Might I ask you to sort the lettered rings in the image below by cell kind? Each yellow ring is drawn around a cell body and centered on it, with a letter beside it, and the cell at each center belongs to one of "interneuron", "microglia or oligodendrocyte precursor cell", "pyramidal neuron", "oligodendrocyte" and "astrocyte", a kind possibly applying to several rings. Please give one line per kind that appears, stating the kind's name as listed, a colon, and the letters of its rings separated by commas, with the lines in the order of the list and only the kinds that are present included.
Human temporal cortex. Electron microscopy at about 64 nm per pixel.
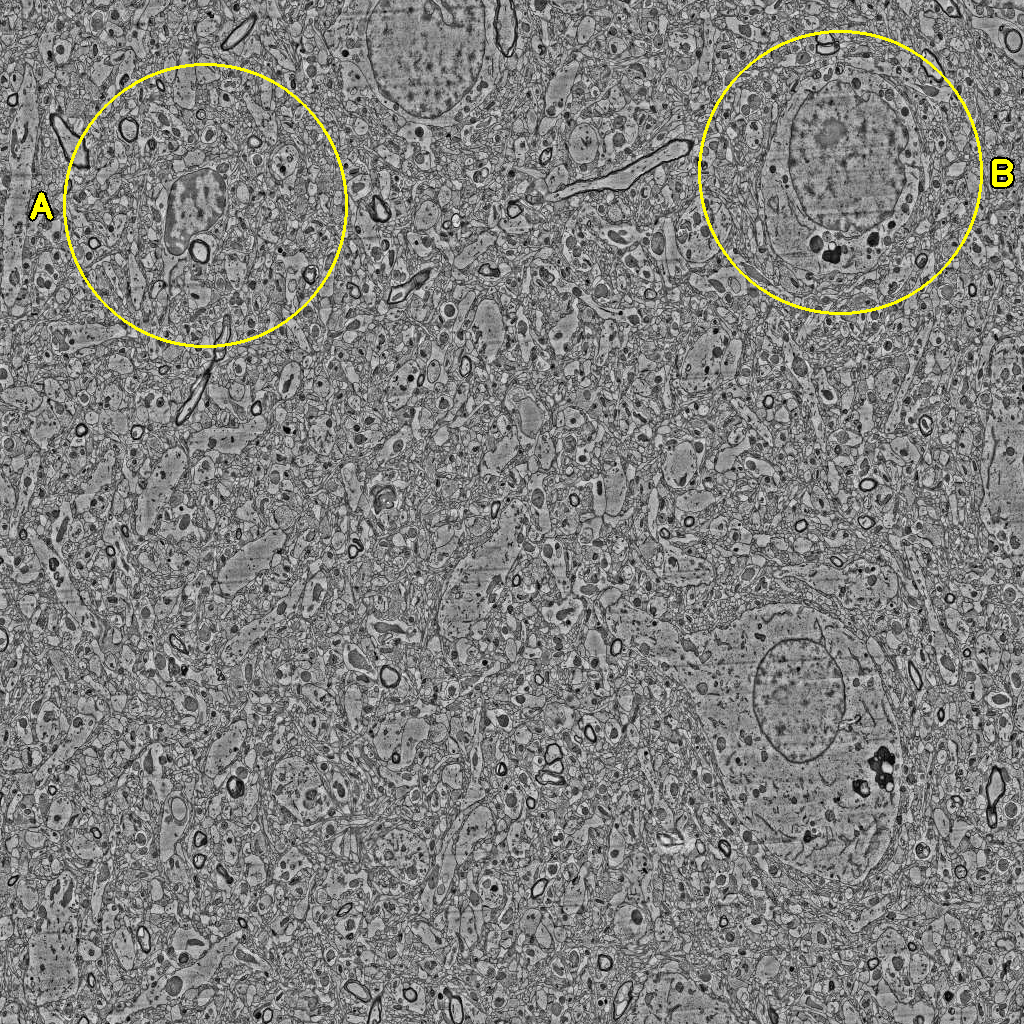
interneuron: B
microglia or oligodendrocyte precursor cell: A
